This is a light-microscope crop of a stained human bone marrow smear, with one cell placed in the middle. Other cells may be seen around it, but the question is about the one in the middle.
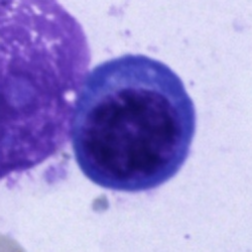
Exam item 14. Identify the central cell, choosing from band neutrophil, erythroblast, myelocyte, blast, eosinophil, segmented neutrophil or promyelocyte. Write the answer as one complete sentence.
The centered cell in this crop is an erythroblast.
